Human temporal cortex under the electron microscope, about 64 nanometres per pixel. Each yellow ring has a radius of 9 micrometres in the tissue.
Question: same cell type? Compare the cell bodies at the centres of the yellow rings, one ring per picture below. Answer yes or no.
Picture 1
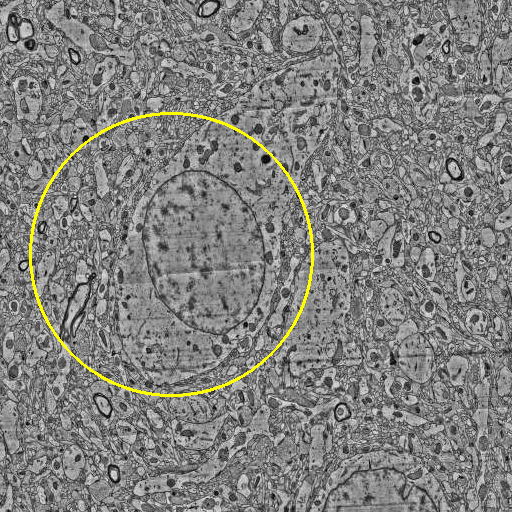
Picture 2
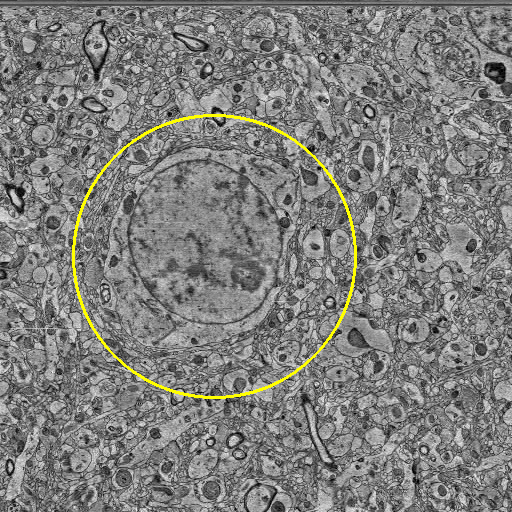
yes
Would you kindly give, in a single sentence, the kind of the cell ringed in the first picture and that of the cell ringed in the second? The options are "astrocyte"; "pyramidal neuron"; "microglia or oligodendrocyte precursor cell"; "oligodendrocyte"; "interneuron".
Both cells are the same kind, each one being a pyramidal neuron.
